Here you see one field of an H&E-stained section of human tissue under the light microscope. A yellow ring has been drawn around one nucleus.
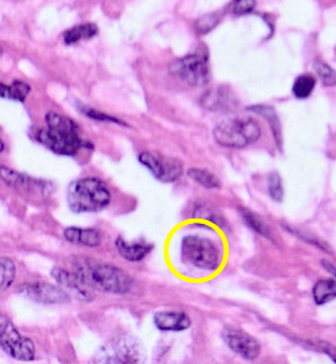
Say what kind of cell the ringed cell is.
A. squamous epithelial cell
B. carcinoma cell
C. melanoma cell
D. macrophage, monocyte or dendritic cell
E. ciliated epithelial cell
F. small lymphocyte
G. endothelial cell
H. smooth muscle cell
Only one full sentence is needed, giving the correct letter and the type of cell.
As stated in option C, the ringed cell is a melanoma cell.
